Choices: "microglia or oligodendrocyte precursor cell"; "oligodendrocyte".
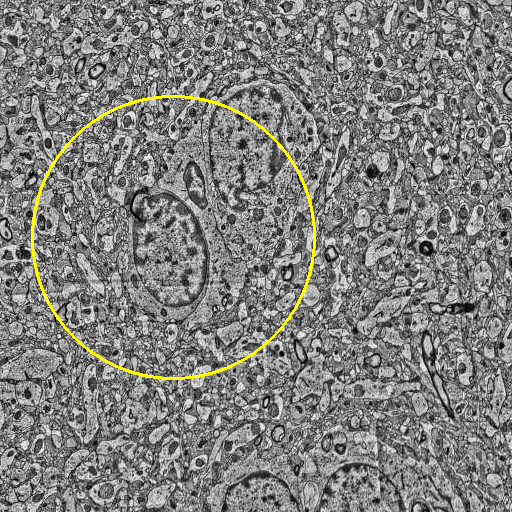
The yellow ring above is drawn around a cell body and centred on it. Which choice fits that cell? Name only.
oligodendrocyte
